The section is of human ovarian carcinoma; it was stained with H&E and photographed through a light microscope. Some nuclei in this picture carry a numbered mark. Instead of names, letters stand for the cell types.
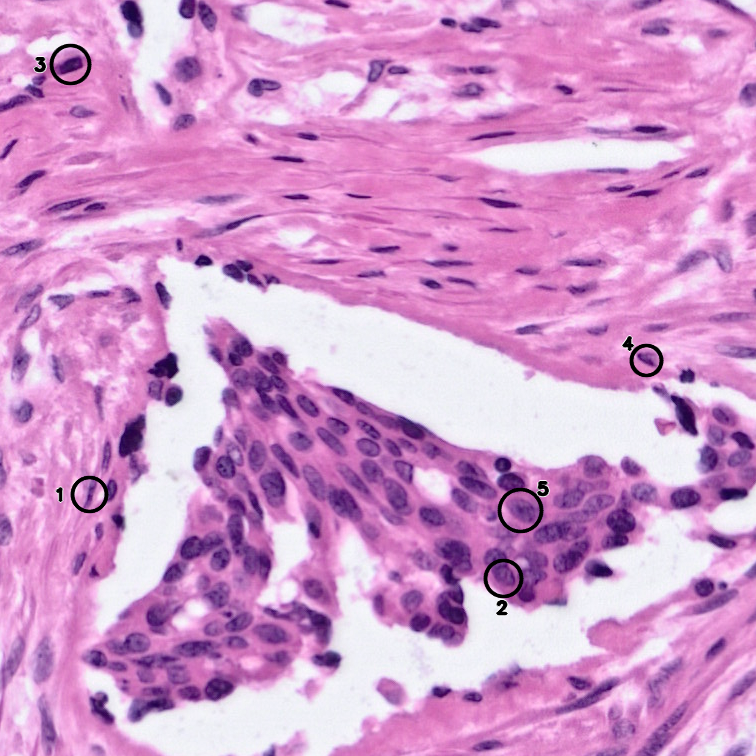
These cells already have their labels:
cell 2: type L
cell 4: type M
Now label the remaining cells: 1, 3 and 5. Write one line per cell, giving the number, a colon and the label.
1: type M
3: type M
5: type L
